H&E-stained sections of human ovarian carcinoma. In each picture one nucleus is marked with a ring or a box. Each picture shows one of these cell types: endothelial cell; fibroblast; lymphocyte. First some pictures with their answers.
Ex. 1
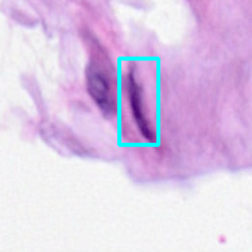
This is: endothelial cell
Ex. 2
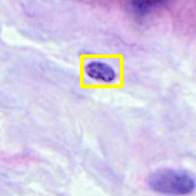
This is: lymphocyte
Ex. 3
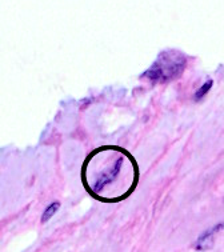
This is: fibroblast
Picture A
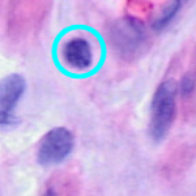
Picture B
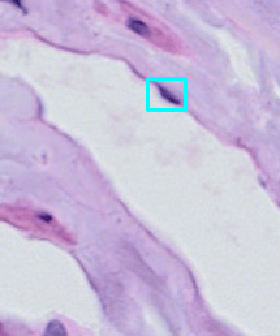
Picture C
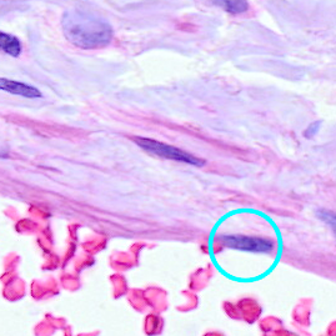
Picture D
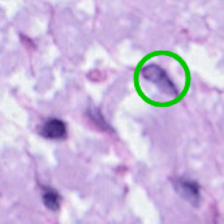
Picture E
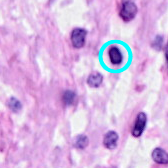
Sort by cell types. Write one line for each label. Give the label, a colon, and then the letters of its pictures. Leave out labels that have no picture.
endothelial cell: B, C
fibroblast: D
lymphocyte: A, E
